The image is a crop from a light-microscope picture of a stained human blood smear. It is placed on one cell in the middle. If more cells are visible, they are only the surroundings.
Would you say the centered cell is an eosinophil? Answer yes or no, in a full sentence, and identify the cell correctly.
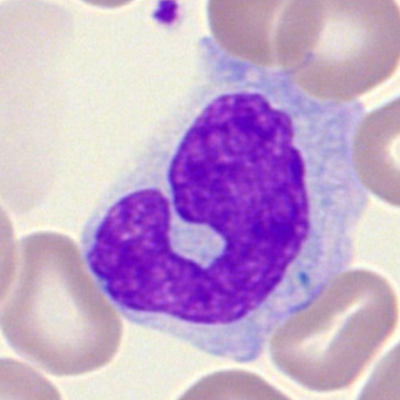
No, the centre cell counts as a monocyte, not as an eosinophil.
